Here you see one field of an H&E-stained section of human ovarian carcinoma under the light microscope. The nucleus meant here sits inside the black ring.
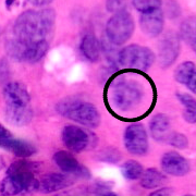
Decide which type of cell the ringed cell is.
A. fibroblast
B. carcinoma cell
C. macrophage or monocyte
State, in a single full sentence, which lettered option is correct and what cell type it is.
Identified correctly by option B, the ringed cell is a carcinoma cell.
